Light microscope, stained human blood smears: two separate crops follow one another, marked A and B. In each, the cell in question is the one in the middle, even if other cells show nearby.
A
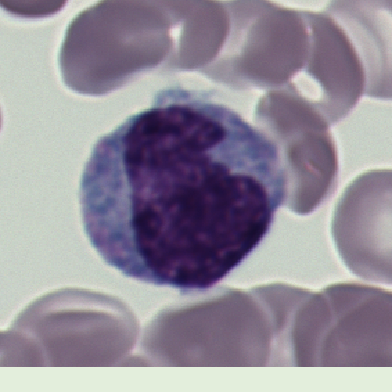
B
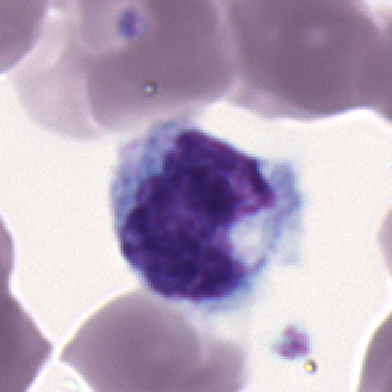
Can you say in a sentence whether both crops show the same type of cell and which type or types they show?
Yes, both crops in this set show monocytes.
